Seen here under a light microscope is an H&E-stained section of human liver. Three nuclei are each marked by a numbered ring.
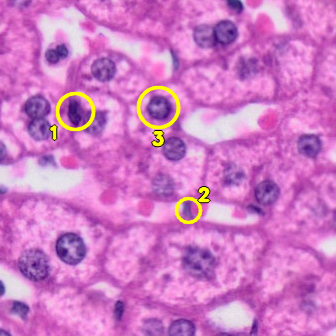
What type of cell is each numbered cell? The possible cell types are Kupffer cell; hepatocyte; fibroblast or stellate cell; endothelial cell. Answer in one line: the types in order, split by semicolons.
fibroblast or stellate cell; endothelial cell; hepatocyte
